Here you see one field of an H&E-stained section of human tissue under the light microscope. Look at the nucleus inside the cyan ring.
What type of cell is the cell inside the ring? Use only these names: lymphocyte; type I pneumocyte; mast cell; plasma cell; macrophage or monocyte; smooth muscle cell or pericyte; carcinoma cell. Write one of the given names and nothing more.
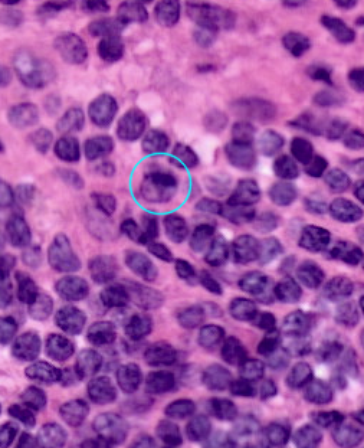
lymphocyte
